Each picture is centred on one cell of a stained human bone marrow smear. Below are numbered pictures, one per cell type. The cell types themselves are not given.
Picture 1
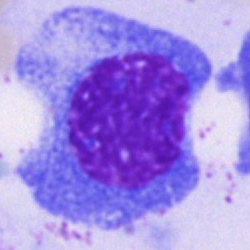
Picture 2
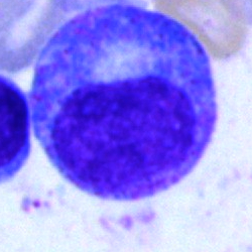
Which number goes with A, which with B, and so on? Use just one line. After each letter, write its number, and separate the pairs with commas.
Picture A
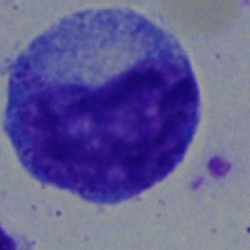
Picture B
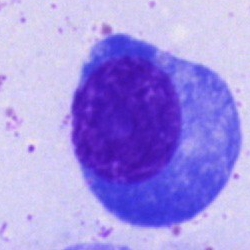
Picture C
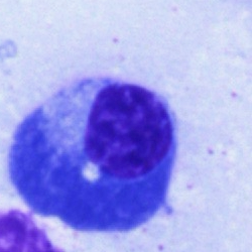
A 2, B 1, C 1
